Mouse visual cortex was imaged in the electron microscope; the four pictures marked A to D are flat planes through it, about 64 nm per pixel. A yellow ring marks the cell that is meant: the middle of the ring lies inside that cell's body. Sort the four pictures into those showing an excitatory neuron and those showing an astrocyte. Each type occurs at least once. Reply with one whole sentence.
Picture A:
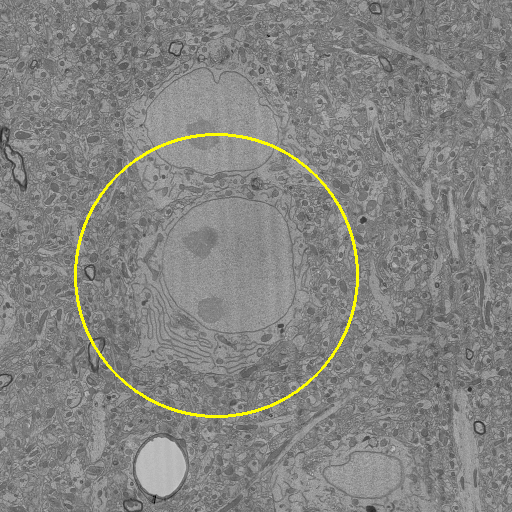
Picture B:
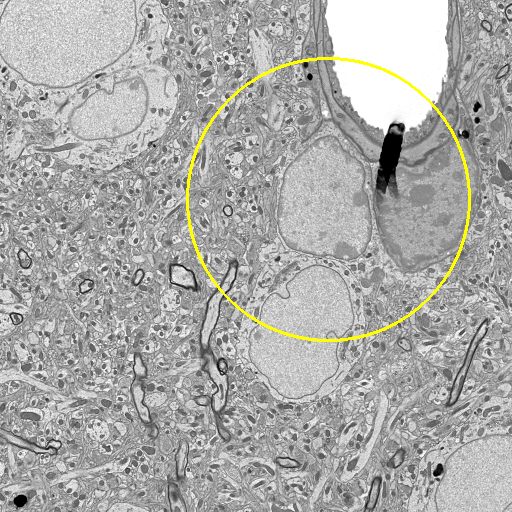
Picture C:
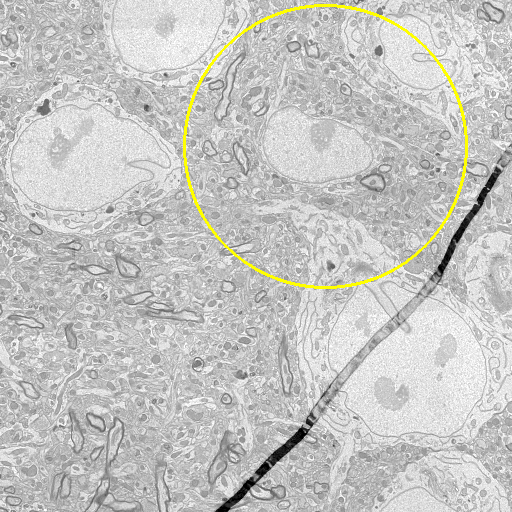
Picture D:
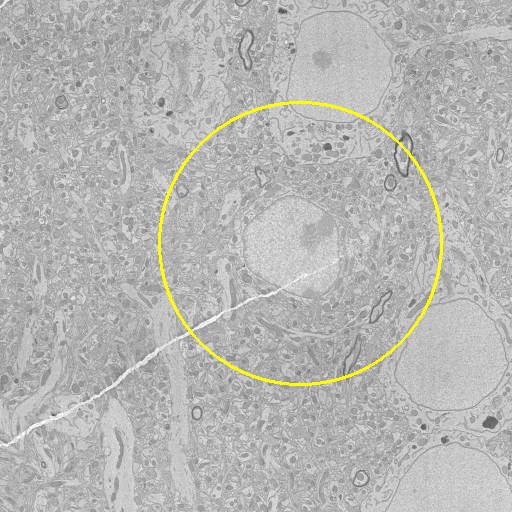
Picture A shows an excitatory neuron, while pictures B, C and D show astrocytes.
